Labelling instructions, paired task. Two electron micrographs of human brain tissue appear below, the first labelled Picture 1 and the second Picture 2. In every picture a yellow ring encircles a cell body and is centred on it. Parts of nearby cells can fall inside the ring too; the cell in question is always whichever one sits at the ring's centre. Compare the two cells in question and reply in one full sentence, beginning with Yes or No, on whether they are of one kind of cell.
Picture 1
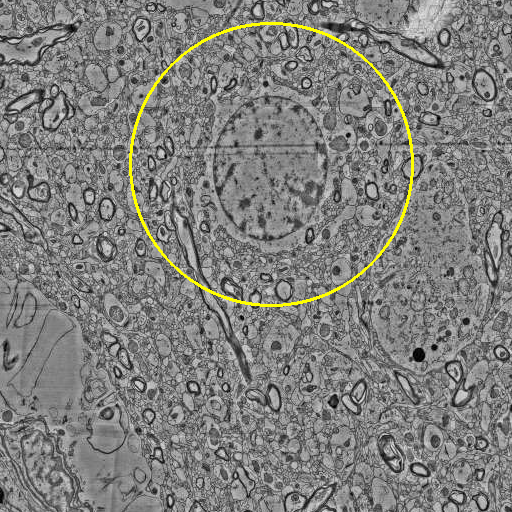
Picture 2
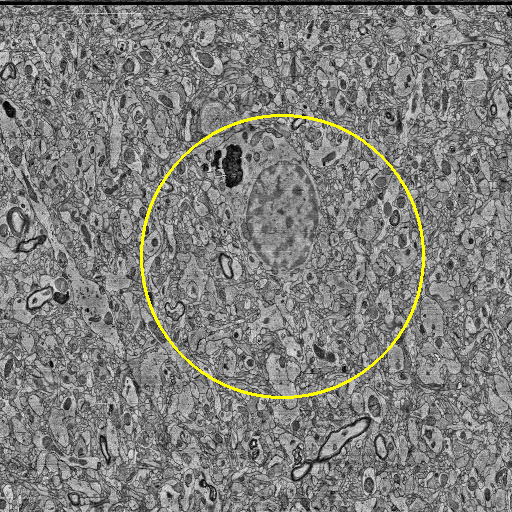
No, the two cells at the ring centres in Picture 1 and Picture 2 are of two kinds.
